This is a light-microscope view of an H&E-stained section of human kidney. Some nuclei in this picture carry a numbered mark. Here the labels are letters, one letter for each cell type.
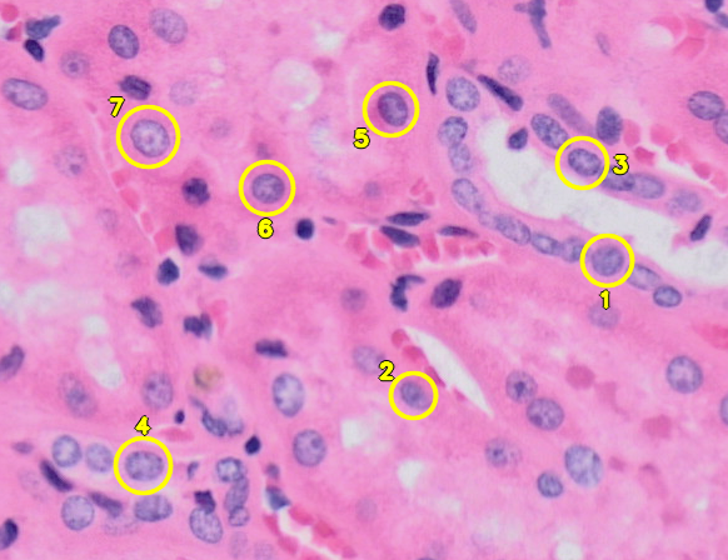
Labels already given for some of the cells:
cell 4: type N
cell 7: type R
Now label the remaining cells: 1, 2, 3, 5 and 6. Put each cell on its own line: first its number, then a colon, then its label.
1: type N
2: type R
3: type N
5: type R
6: type R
